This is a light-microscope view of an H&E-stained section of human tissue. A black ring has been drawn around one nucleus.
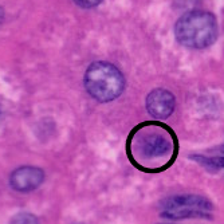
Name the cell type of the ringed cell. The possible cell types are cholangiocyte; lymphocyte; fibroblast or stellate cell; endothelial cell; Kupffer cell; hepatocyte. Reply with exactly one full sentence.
In this tissue section, the ringed cell is to be classed as a fibroblast or stellate cell.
